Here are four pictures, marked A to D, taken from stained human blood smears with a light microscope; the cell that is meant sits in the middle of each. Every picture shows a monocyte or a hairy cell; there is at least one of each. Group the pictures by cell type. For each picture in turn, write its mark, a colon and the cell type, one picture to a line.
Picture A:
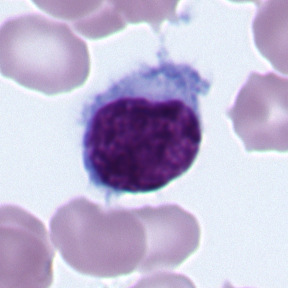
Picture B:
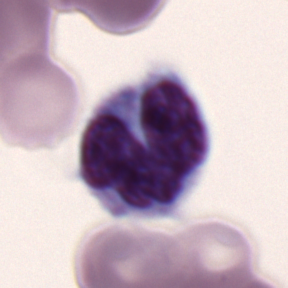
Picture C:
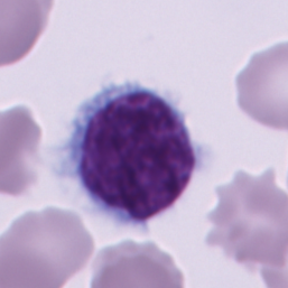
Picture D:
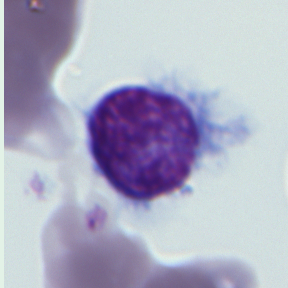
A: hairy cell
B: monocyte
C: hairy cell
D: hairy cell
